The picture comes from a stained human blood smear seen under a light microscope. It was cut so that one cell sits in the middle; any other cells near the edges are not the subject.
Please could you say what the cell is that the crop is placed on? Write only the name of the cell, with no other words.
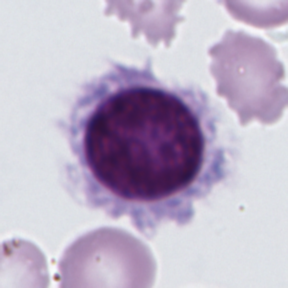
hairy cell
